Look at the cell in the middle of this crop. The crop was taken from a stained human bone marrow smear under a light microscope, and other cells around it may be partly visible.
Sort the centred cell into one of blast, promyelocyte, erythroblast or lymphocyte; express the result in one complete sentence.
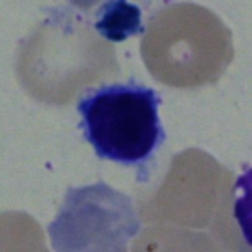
As for the cell in the middle, it is a lymphocyte.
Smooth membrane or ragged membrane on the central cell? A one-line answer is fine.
The edge is uneven, and this unevenness takes the form of ragged stretches or projections.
